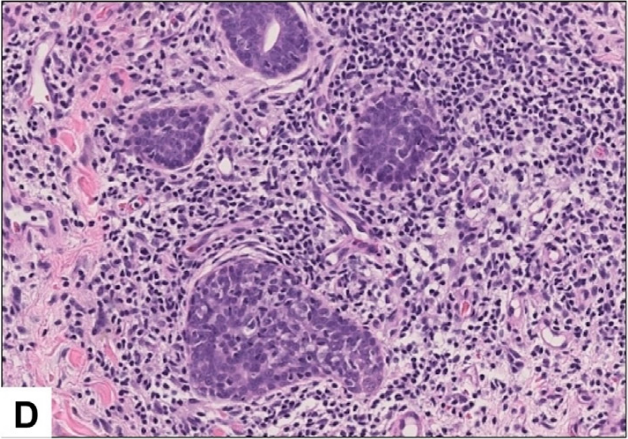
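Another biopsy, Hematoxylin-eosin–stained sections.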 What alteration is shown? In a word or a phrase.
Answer: Lymphocytes infiltrating hyperplastic eccrine glands.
